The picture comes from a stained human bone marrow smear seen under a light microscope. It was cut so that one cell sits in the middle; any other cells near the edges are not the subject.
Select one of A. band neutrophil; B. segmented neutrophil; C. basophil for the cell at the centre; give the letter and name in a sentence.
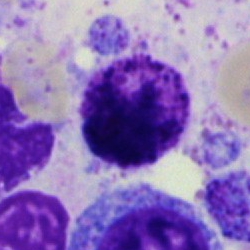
Identification: the cell in the middle is a basophil, matching option C.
